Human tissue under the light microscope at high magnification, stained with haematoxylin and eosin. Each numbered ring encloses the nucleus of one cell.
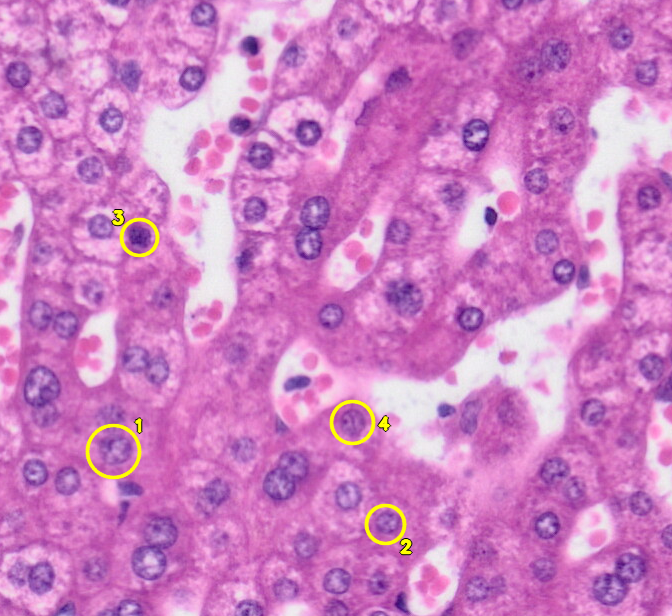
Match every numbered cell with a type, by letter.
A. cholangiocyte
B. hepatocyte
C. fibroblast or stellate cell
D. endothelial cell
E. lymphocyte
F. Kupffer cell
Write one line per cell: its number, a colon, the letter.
1: B
2: B
3: C
4: B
